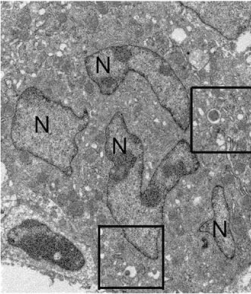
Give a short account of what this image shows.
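This electron micrograph shows a group of nuclei with irregular, indented outlines lying together in one broad cytoplasm. The chromatin is mostly fine with darker clumps along the nuclear envelope. The surrounding cytoplasm is densely filled with small round vesicles and vacuoles, some pale and some with darker contents. Two boxed regions mark cytoplasmic areas containing round membrane-bound vacuoles.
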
